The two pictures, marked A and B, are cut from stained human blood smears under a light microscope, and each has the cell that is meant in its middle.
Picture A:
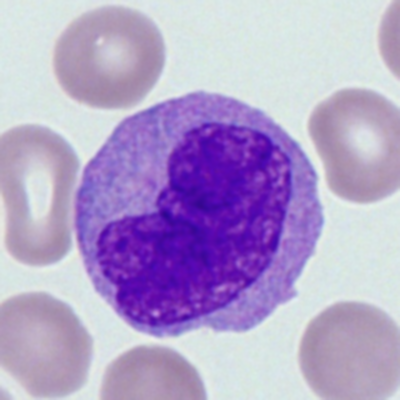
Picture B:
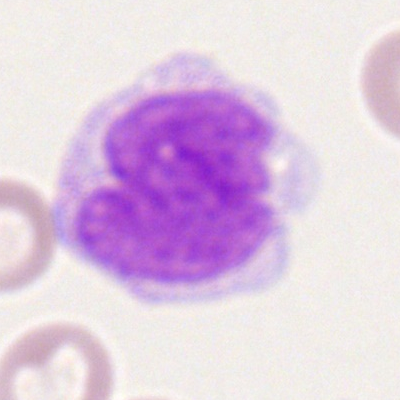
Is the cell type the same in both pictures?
yes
